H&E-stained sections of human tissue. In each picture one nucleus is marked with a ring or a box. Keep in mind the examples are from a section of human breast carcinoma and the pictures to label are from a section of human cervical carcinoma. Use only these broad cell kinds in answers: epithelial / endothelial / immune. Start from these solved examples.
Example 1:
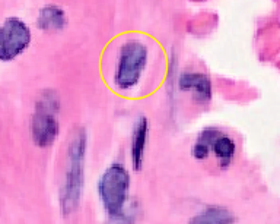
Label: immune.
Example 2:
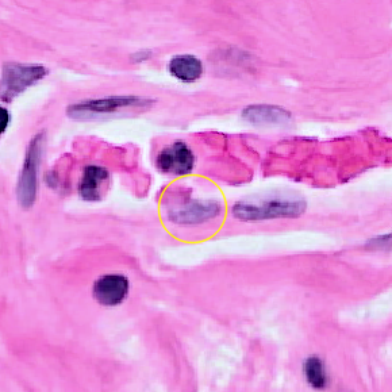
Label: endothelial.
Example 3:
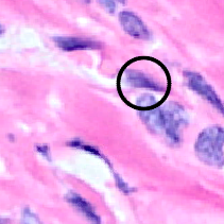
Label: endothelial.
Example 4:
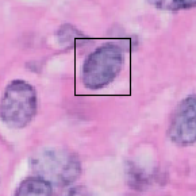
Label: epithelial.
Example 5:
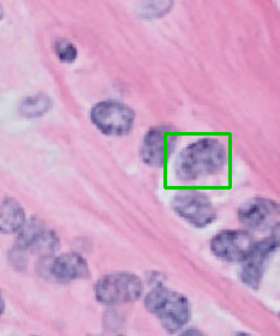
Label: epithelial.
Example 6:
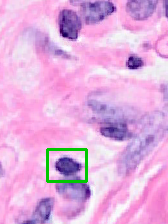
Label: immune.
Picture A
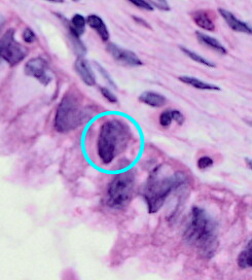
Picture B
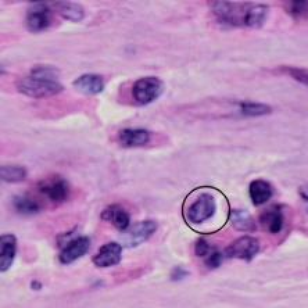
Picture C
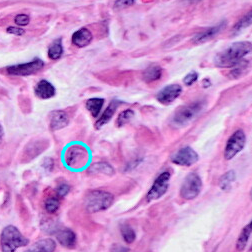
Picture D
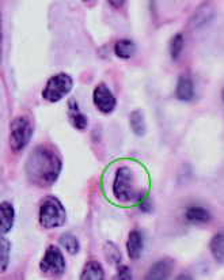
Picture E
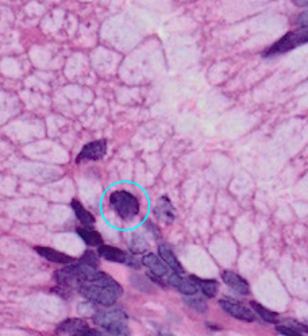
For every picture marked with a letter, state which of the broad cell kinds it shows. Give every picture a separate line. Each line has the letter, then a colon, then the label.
A: epithelial.
B: immune.
C: endothelial.
D: immune.
E: epithelial.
